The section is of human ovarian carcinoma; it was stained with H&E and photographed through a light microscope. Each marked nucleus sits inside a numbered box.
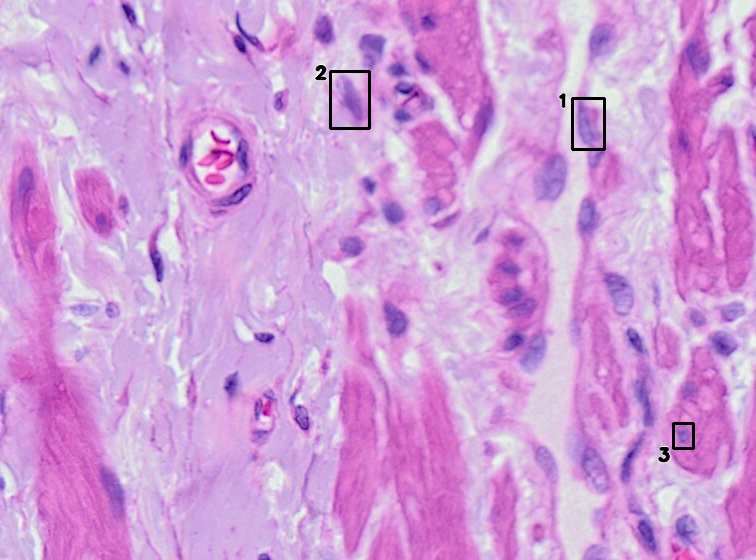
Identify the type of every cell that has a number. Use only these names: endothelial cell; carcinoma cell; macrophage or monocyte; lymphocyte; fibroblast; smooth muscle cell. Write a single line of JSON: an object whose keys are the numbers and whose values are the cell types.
{"1": "endothelial cell", "2": "fibroblast", "3": "smooth muscle cell"}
